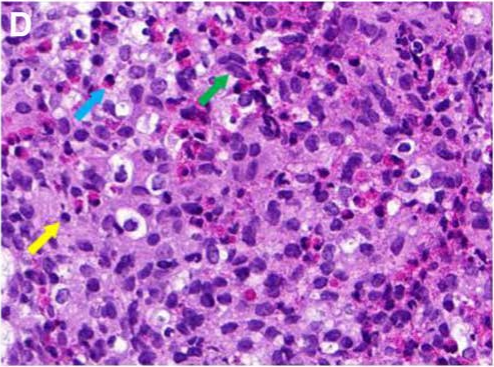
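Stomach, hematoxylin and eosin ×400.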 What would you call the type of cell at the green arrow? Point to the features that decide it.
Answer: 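The marked cell is intermediate in size, larger than the surrounding small round cells. Its nucleus has an irregular, indented contour. Its cytoplasm is pale pink. That points to this answer: Langerhans cells.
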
